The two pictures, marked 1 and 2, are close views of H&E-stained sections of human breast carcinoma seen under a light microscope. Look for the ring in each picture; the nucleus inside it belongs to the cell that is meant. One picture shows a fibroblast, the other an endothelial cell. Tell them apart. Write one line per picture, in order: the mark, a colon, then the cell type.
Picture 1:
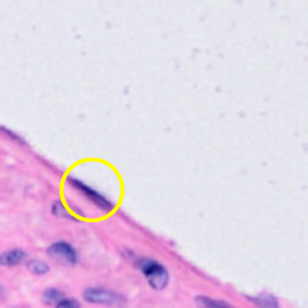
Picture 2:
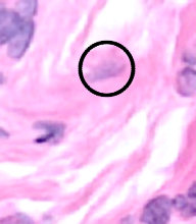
1: endothelial cell
2: fibroblast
